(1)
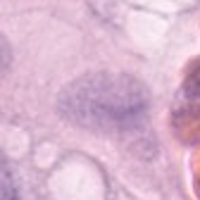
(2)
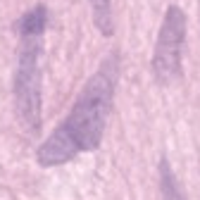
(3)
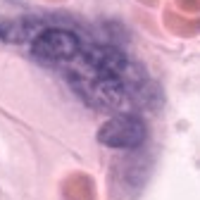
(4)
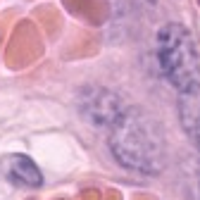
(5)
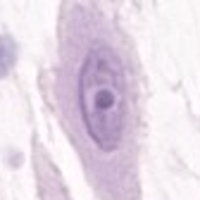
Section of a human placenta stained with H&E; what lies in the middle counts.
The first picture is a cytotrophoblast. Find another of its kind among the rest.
Picture 4.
